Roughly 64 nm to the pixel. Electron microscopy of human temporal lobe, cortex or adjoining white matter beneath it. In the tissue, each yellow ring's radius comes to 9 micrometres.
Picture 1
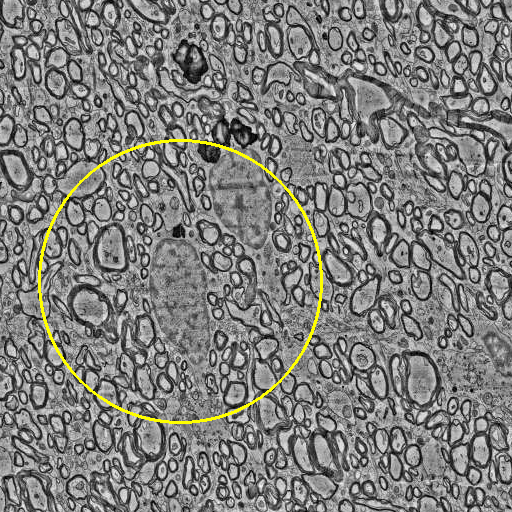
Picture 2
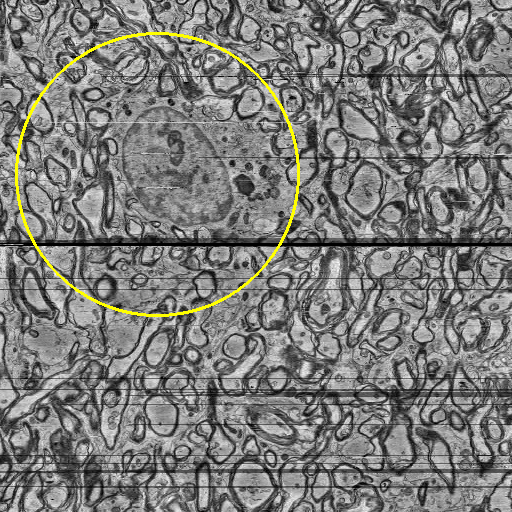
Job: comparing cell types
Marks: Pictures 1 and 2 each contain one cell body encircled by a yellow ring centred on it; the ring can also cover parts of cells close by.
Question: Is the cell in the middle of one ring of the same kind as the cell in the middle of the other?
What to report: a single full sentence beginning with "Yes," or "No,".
Yes, the cell at the ring centre in Picture 1 and its partner in Picture 2 are of one kind.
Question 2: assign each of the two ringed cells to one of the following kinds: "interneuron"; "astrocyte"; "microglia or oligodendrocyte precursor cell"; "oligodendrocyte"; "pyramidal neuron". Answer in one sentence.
Both the first and the second picture show an oligodendrocyte in the ring.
